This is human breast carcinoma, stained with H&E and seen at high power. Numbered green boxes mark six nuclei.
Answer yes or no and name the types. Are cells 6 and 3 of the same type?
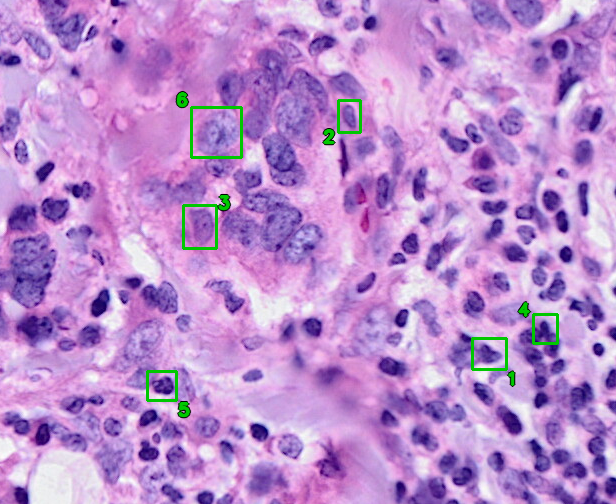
Yes, the two numbered cells 6 and 3 are both carcinoma cells.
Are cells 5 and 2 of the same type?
No; whereas cell 5 is a lymphocyte, cell 2 is an endothelial cell.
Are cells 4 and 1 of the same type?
Yes, the cells marked 4 and 1 are both lymphocytes.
